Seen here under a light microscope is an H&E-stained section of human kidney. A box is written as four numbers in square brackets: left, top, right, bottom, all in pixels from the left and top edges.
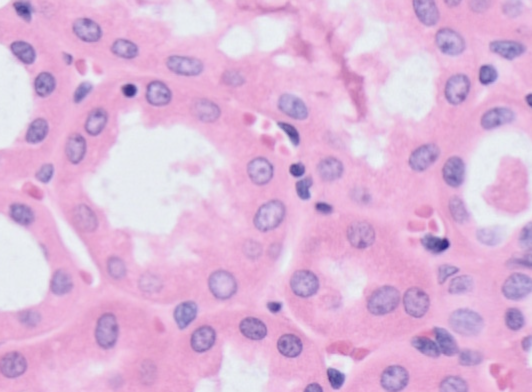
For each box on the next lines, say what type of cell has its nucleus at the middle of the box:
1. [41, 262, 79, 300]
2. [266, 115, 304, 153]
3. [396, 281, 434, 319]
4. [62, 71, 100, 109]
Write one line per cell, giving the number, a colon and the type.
1: loop of Henle or distal tubule cell
2: endothelial cell
3: proximal tubule cell
4: endothelial cell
